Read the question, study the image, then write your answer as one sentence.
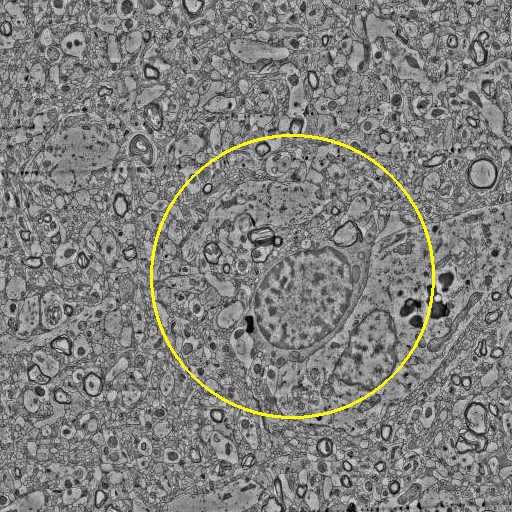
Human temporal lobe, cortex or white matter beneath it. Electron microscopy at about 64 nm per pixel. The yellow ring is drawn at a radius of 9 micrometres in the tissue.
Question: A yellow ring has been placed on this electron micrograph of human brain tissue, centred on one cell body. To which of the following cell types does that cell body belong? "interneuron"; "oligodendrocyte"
That cell body belongs to an oligodendrocyte.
